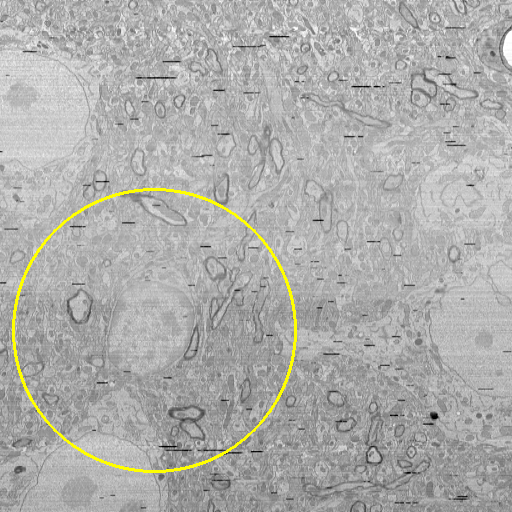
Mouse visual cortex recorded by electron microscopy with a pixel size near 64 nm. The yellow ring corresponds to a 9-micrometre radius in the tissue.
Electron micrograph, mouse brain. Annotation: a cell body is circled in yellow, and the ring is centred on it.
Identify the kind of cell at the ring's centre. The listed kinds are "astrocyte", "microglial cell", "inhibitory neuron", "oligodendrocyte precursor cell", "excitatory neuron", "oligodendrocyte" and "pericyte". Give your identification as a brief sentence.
The circled cell body is that of an oligodendrocyte.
